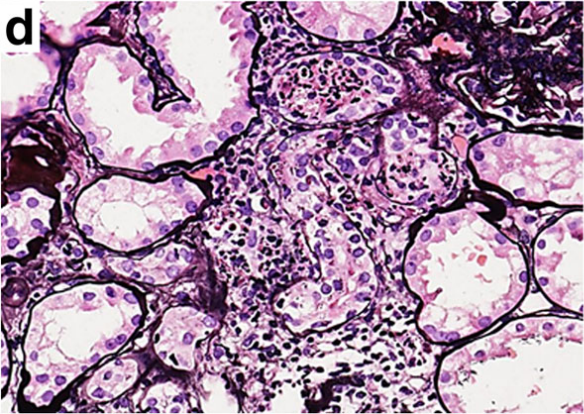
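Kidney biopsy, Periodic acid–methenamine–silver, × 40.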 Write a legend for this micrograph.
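Several tubules are enlarged, with wide lumens lined by flattened or pale, vacuolated epithelial cells. In places the lining is thin and has few nuclei. Between the tubules, the interstitium holds a dense collection of small round dark nuclei of inflammatory cells. Some tubule cross-sections contain pale pink material or loose cells in their lumens.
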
